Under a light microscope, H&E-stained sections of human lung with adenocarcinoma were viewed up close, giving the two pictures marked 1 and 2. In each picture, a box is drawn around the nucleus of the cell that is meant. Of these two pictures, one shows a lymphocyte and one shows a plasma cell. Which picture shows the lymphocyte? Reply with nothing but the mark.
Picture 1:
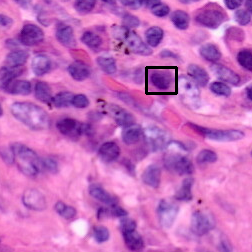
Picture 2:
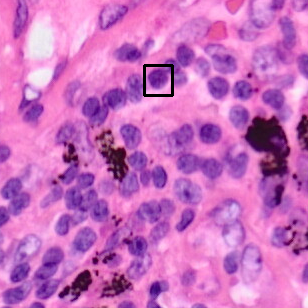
2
